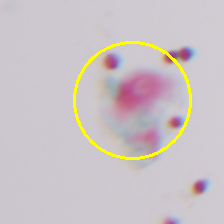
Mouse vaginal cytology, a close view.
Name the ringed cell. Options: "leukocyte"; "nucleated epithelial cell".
nucleated epithelial cell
